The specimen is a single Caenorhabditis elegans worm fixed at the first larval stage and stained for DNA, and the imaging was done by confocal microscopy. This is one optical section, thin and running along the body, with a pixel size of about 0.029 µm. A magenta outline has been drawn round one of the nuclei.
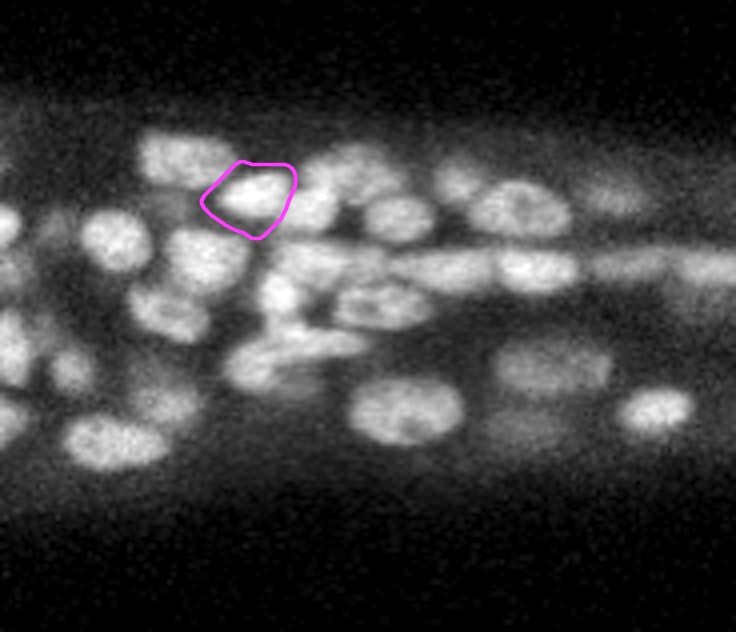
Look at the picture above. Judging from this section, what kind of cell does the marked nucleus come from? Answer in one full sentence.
What is marked is the nucleus of a glial cell (sheath or socket).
